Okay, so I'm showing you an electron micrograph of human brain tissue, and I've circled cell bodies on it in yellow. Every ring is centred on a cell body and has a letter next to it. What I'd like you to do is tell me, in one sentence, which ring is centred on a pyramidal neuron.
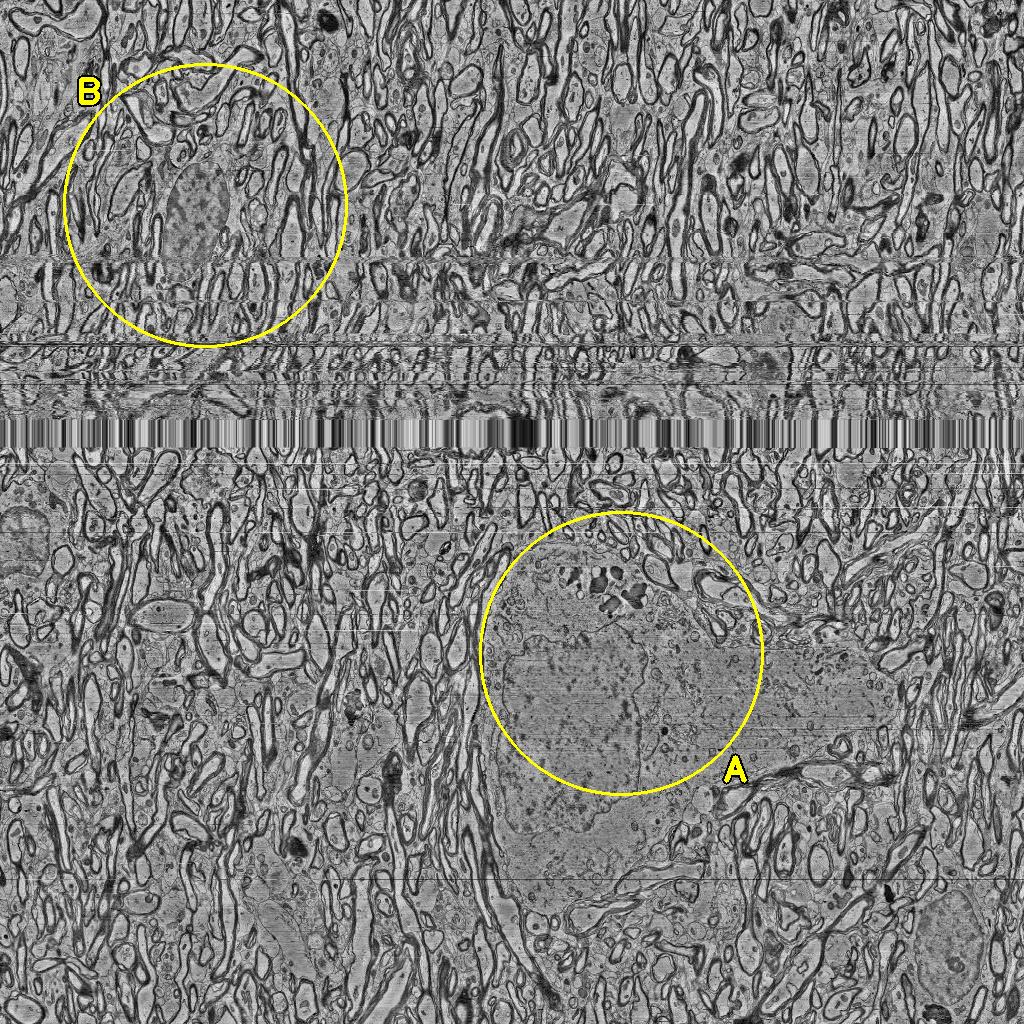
It's ring A.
